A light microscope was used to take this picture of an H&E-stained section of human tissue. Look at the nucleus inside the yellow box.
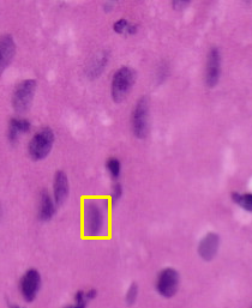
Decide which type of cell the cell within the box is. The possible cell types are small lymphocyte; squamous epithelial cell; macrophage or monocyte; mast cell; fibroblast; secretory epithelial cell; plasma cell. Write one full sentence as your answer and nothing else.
The identity of the cell within the box is that of a squamous epithelial cell.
